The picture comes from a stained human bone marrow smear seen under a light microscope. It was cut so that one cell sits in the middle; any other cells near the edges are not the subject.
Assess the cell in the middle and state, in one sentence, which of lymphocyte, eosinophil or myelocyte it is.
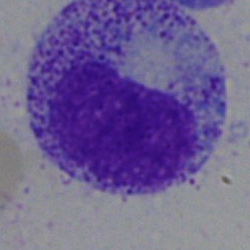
The cell in the exact centre of the crop is a myelocyte.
